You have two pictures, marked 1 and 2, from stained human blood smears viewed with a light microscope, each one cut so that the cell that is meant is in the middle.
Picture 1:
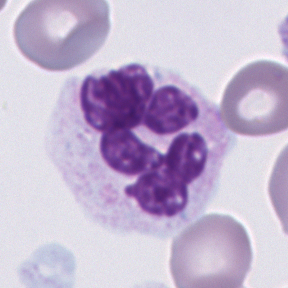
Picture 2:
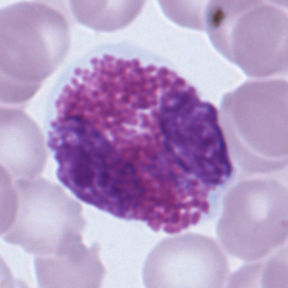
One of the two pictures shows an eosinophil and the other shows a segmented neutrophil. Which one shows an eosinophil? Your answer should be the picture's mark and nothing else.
2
